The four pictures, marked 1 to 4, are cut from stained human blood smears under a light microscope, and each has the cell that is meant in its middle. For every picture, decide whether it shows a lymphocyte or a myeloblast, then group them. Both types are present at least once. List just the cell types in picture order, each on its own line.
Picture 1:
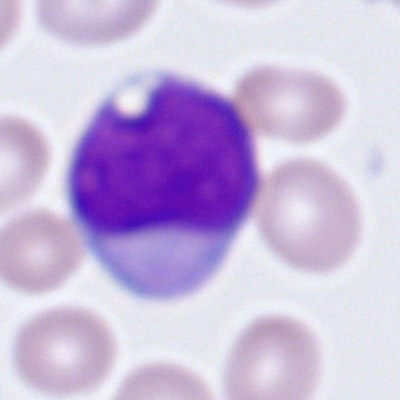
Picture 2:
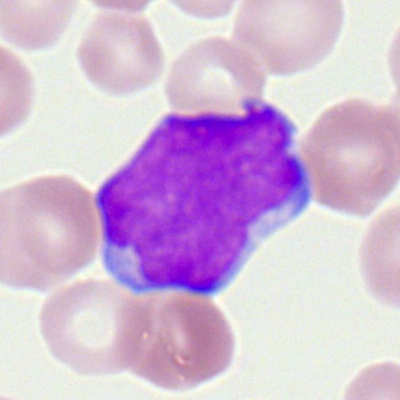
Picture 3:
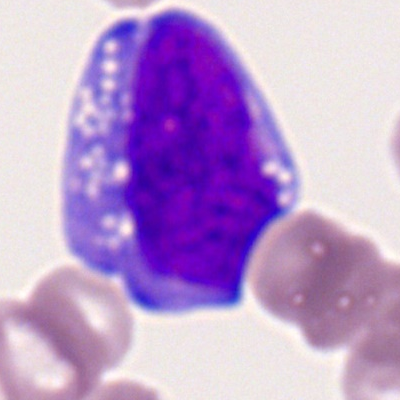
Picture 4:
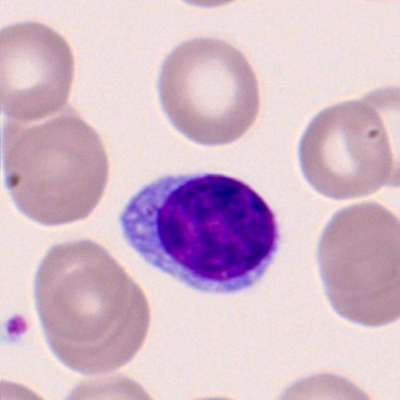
myeloblast
myeloblast
myeloblast
lymphocyte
